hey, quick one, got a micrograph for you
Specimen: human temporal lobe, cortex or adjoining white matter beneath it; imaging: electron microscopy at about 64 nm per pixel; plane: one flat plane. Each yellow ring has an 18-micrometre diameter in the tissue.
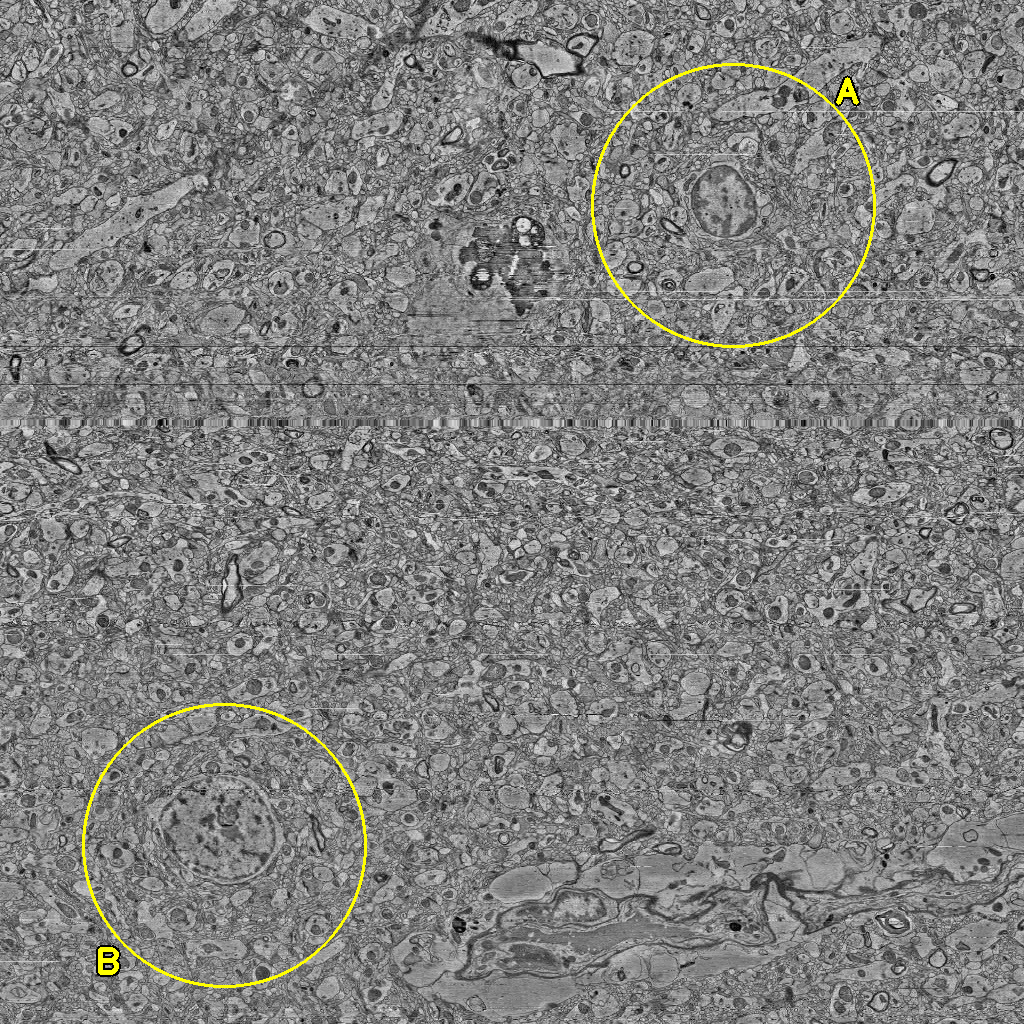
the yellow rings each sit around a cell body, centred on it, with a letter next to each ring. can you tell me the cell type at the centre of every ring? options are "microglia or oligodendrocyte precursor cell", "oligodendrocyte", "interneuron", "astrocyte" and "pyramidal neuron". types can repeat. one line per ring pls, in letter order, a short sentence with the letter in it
Ring A goes around a microglial cell or oligodendrocyte precursor cell.
Ring B goes around a microglial cell or oligodendrocyte precursor cell.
